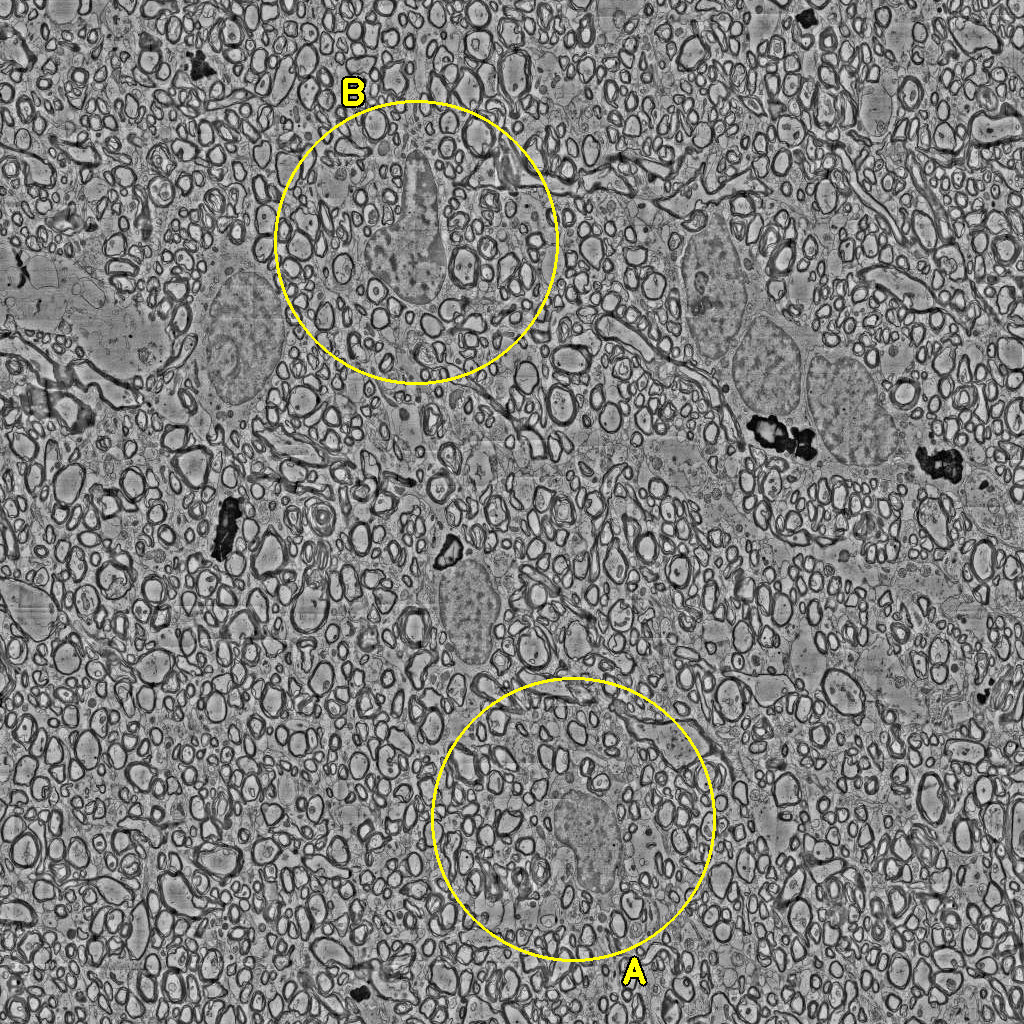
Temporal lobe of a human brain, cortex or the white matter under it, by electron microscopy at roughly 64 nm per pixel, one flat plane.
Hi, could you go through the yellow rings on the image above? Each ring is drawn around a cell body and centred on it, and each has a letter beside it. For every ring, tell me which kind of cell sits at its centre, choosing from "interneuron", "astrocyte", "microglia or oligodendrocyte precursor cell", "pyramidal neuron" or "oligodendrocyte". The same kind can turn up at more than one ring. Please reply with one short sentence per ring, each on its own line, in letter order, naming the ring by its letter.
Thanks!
Ring A is centred on an oligodendrocyte.
Ring B is centred on a microglial cell or oligodendrocyte precursor cell.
